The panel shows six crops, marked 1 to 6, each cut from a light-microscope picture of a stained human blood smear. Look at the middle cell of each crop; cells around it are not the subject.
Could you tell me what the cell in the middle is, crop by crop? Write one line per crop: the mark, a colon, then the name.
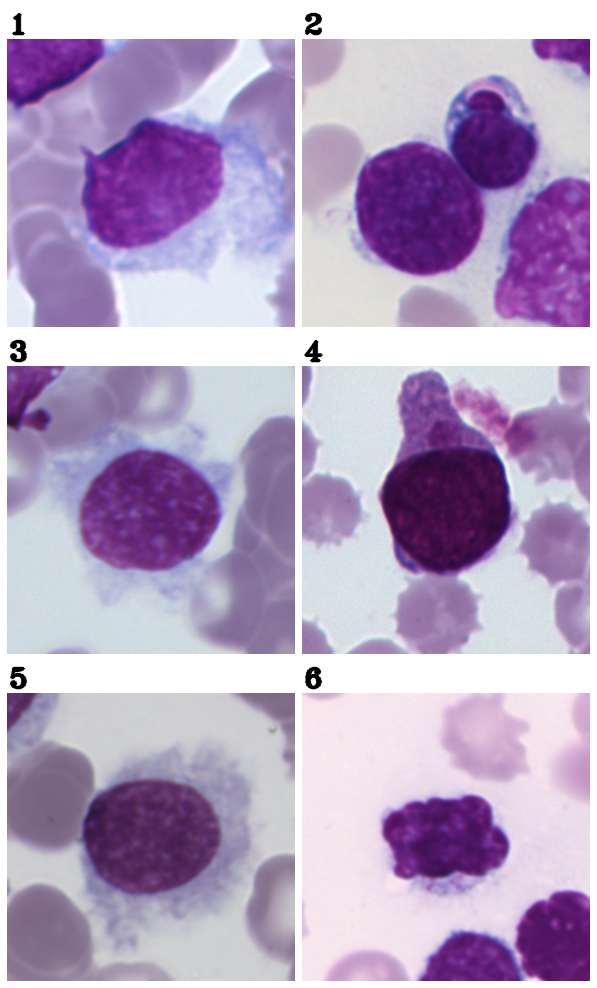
1: hairy cell
2: blast
3: hairy cell
4: blast
5: hairy cell
6: typical lymphocyte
